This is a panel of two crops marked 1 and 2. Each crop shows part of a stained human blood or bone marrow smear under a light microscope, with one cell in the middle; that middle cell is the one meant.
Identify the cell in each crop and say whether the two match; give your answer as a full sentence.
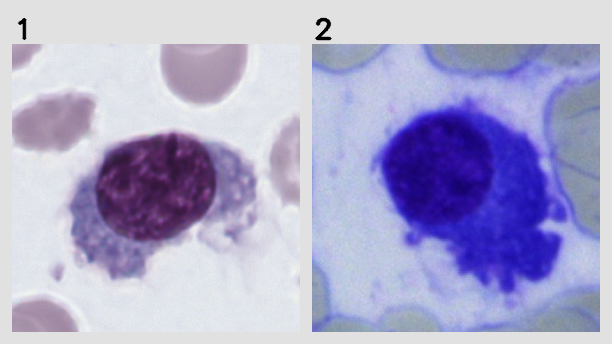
Yes, the cells that the two crops centre on are plasma cells.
